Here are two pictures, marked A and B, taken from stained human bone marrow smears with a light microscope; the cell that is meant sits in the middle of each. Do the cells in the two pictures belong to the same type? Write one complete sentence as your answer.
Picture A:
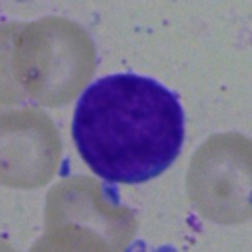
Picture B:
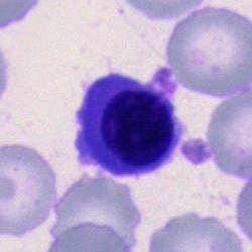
No. Picture A shows a lymphocyte, but picture B shows an erythroblast.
